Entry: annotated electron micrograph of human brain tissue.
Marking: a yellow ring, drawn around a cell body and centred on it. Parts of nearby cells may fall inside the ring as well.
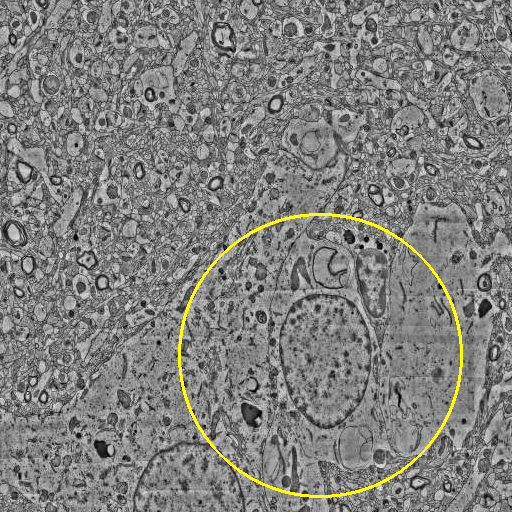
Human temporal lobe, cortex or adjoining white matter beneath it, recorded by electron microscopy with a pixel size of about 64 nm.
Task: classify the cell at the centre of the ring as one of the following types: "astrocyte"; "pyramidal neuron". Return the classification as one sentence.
The marked cell is classified as an astrocyte.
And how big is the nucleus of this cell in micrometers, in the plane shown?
The ringed cell's nucleus is about 8 micrometres long and 6 micrometres wide in this plane.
